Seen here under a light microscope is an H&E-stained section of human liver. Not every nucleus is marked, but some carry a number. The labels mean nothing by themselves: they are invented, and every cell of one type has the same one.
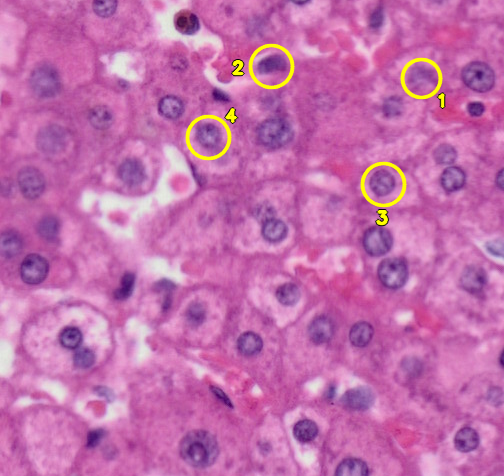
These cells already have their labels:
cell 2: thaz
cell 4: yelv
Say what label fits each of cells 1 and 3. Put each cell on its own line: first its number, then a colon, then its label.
1: yelv
3: yelv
